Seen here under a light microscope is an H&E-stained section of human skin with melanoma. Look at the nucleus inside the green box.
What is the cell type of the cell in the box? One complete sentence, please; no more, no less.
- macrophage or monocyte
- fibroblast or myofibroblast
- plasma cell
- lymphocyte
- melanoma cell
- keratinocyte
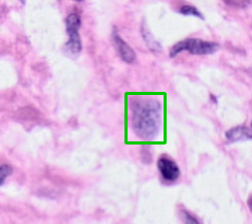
As classified here, the cell in the box is a fibroblast or myofibroblast.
